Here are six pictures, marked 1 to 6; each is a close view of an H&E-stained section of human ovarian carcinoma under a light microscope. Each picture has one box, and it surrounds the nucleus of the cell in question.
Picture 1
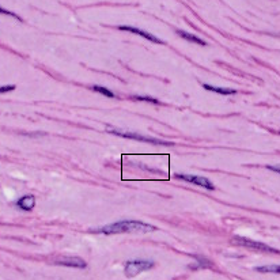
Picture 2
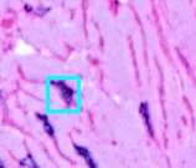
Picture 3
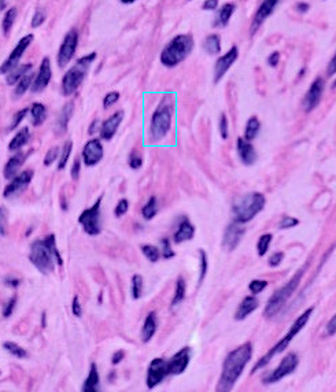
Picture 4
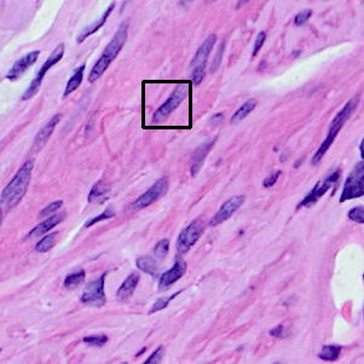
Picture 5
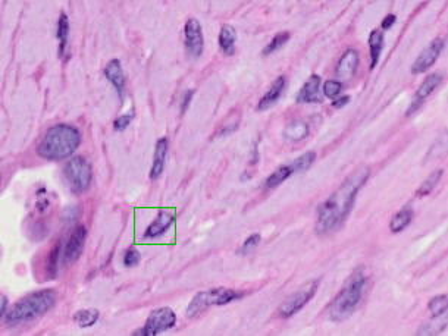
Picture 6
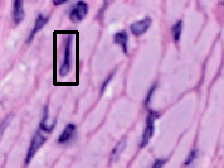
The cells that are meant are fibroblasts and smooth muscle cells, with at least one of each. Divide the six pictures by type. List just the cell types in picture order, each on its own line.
fibroblast
fibroblast
smooth muscle cell
smooth muscle cell
fibroblast
fibroblast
